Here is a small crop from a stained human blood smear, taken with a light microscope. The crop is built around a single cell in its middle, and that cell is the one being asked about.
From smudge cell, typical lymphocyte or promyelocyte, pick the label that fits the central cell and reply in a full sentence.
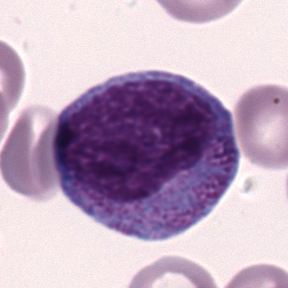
Where the crop is centred, there is a promyelocyte.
